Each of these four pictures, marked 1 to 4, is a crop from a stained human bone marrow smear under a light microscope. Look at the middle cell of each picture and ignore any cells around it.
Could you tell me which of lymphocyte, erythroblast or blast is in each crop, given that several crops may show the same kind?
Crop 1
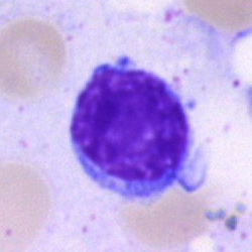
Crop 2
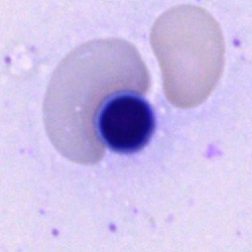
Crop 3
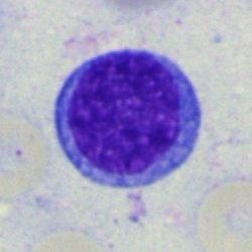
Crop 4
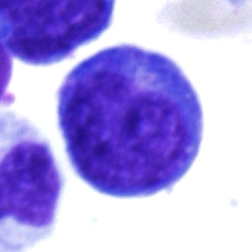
1: lymphocyte
2: erythroblast
3: blast
4: blast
